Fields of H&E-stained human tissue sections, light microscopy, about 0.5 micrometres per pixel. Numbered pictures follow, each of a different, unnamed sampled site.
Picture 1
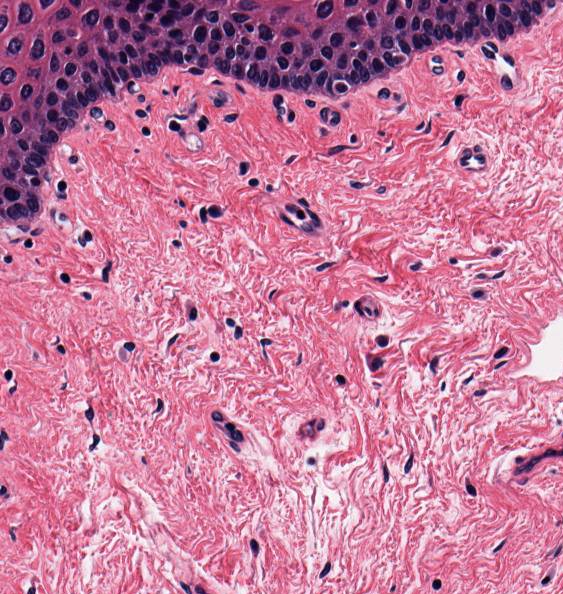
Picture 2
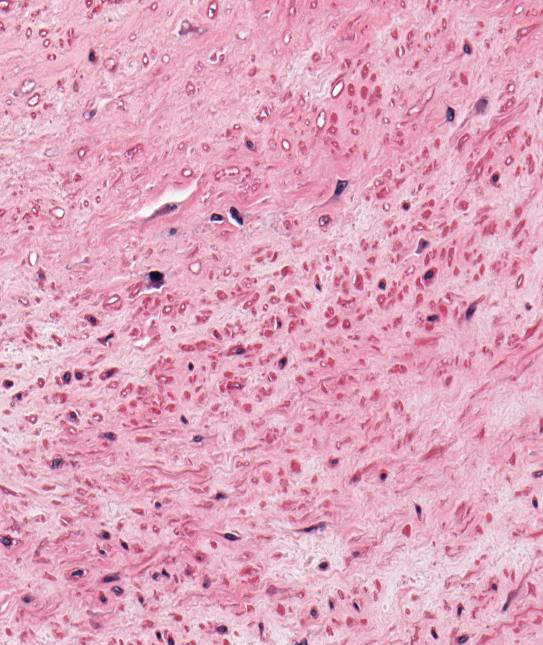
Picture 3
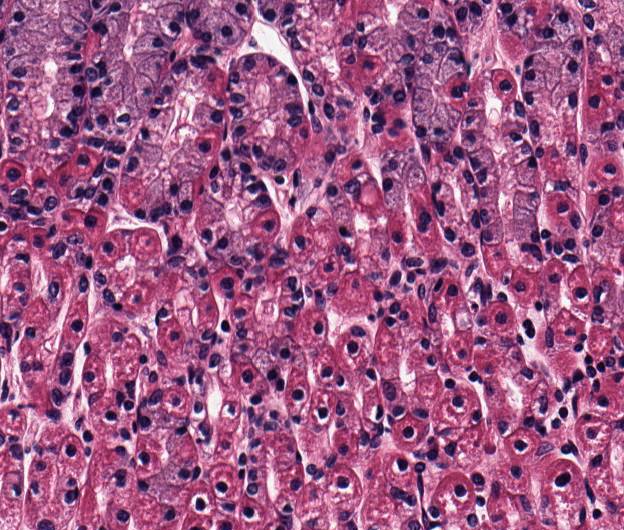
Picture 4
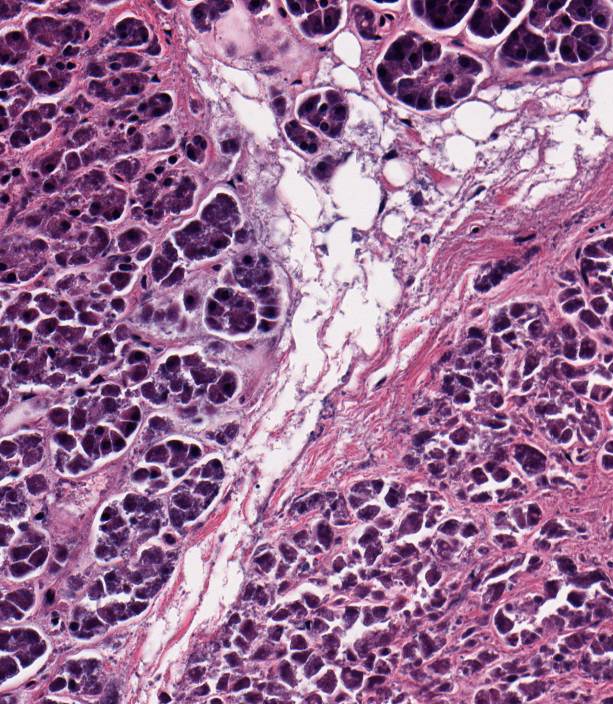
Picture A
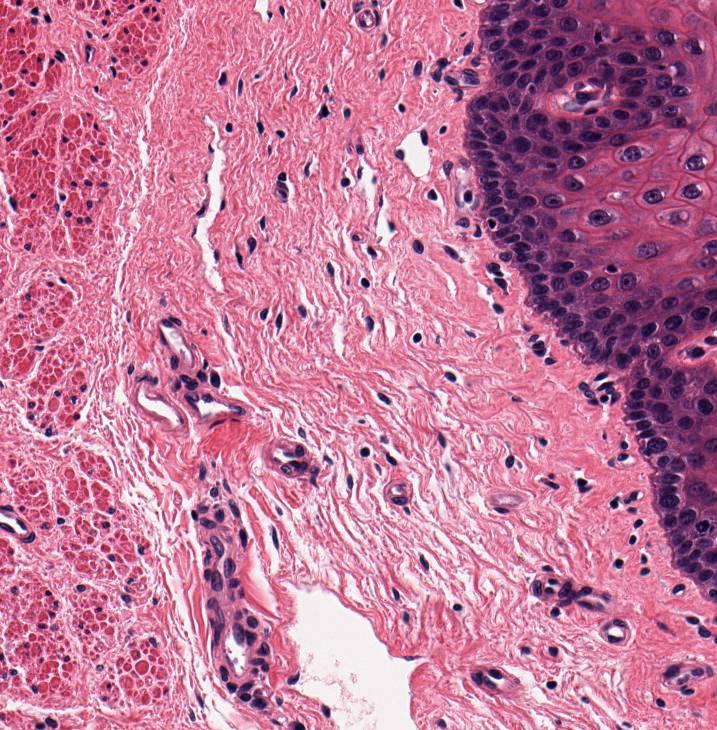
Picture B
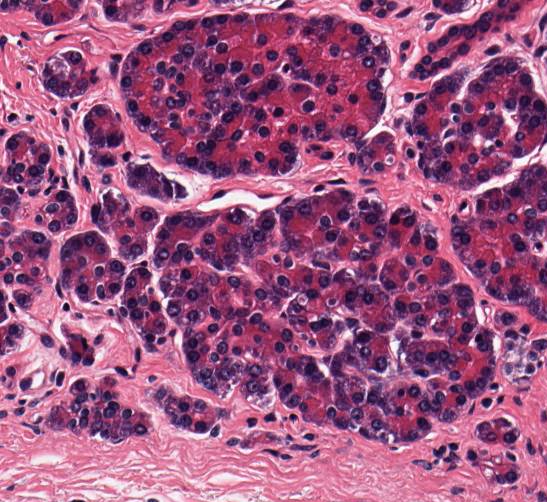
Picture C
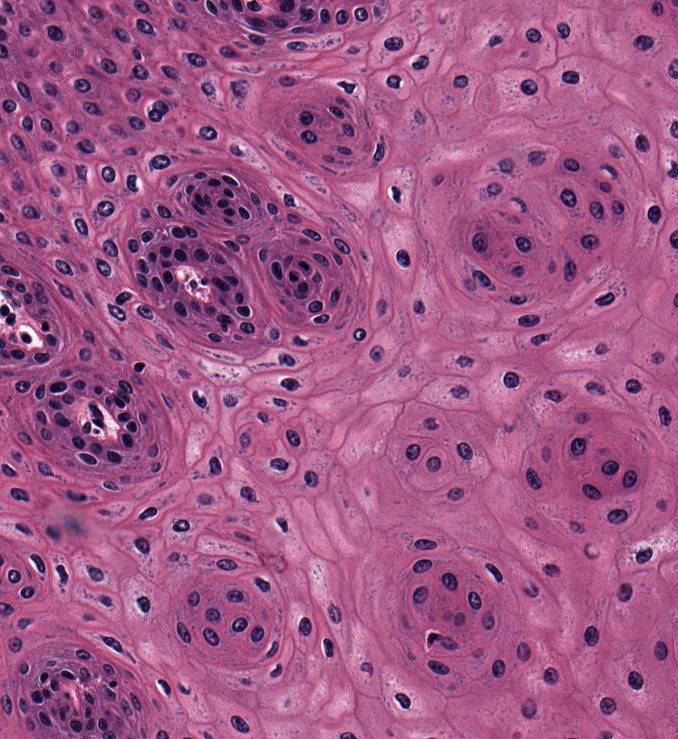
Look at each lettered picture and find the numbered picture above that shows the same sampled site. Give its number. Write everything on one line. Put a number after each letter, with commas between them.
A 1, B 4, C 1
